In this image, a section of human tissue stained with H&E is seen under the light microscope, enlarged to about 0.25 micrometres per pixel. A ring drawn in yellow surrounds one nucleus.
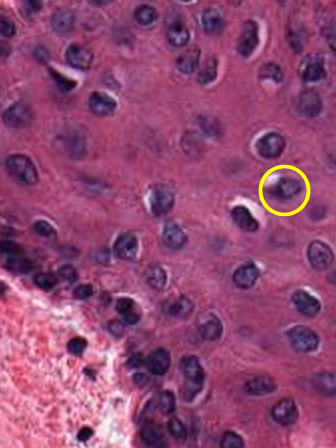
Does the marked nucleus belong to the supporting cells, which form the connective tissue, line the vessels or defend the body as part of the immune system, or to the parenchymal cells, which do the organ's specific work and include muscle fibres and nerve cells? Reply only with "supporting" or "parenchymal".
parenchymal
